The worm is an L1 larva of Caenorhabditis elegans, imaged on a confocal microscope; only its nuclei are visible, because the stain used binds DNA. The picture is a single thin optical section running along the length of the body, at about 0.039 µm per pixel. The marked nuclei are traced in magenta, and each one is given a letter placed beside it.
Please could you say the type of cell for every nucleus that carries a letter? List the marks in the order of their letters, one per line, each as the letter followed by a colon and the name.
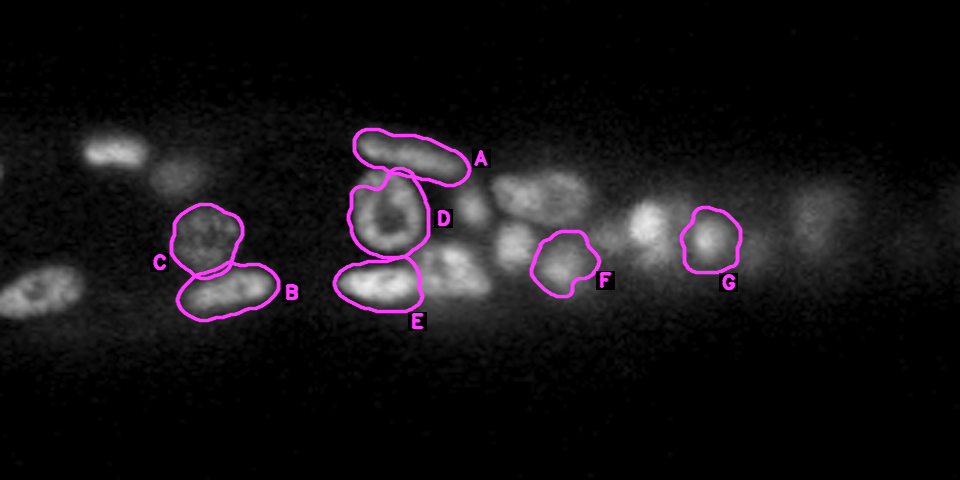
A: body wall muscle cell
B: body wall muscle cell
C: seam cell
D: intestinal cell
E: enteric muscle cell
F: neuron
G: glial cell (sheath or socket)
